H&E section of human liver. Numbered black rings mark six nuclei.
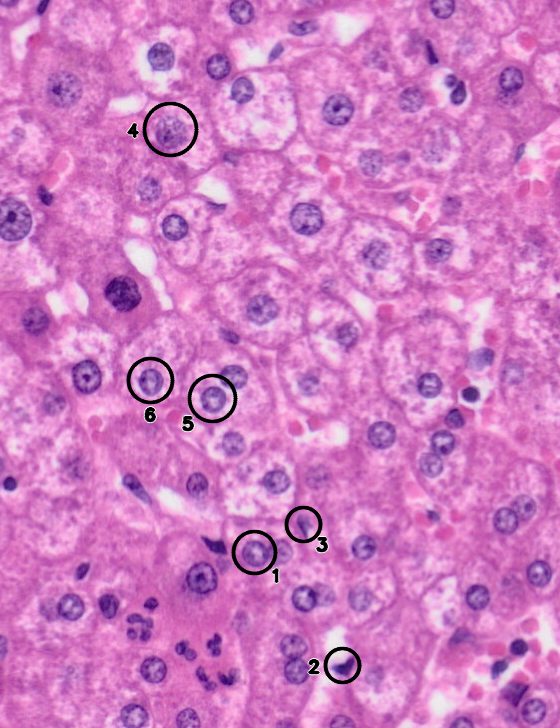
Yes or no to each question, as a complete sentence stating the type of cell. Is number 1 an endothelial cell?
No, cell 1 is not an endothelial cell. It is a hepatocyte.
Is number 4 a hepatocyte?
Yes, the marked cell number 4 is a hepatocyte.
